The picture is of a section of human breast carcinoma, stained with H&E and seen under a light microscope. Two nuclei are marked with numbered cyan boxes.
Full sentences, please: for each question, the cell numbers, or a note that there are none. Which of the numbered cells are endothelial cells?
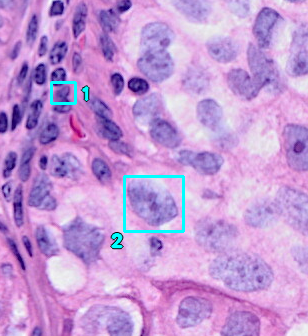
There is just one numbered cell that is an endothelial cell, and it is cell 1.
